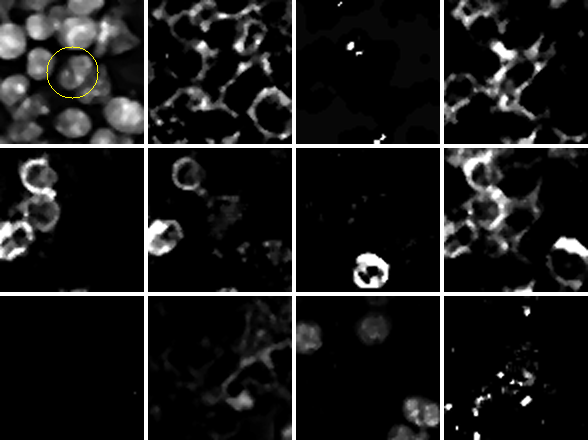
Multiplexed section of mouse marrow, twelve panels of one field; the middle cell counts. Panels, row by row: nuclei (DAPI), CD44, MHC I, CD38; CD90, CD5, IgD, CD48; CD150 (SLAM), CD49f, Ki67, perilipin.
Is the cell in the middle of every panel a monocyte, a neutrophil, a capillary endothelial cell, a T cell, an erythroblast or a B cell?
It is a monocyte.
